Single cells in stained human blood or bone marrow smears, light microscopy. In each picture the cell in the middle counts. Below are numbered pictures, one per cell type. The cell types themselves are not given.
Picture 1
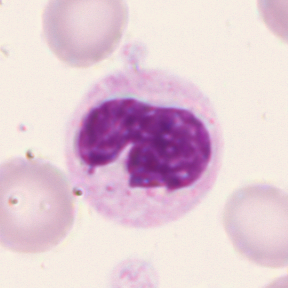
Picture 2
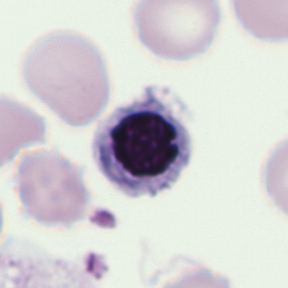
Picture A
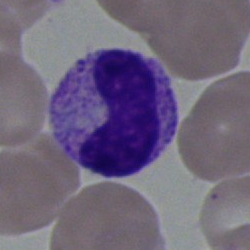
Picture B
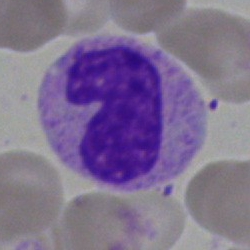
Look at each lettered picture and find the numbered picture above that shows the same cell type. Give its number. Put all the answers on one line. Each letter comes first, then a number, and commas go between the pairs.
A 1, B 1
